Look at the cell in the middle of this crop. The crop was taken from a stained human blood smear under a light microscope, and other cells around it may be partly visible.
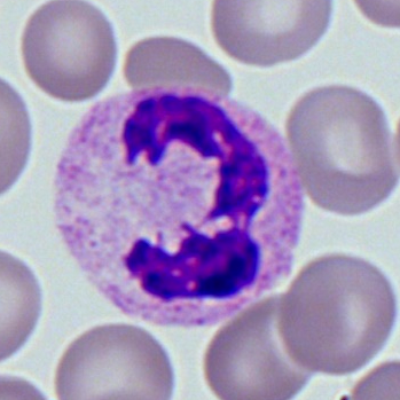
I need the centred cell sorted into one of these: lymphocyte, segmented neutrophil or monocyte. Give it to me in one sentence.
The cell under consideration, at the middle of the crop, is a segmented neutrophil.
